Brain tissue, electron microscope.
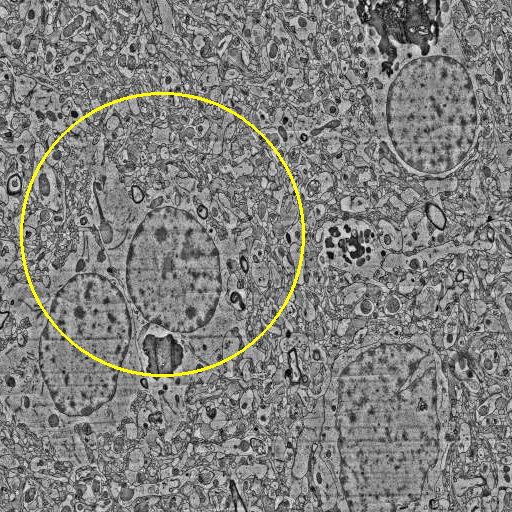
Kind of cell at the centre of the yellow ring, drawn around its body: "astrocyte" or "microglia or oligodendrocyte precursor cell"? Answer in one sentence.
The ring's centre falls on an astrocyte.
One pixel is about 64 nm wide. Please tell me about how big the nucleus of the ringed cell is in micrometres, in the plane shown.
In this plane the nucleus is about 8 micrometres by 6.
